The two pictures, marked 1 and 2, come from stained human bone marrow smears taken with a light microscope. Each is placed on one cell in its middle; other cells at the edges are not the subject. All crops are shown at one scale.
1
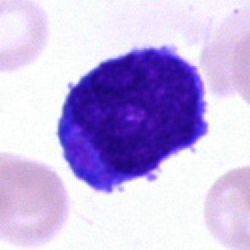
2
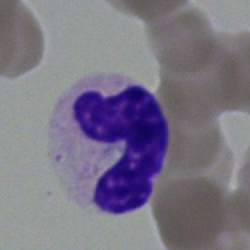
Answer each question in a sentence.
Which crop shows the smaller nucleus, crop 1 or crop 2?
Crop 2 shows the smaller nucleus, since that in crop 1 covers about 2 times as much area.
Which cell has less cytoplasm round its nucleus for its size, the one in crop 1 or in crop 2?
The nucleus fills more of the cell in crop 1 than in crop 2.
